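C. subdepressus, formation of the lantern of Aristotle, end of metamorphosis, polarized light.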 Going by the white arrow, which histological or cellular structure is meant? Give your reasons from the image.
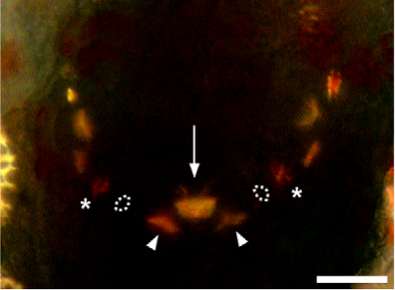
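A small bright birefringent ossicle lies at the centre below the arrow. It sits between two smaller bright ossicles on either side. So: central tooth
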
